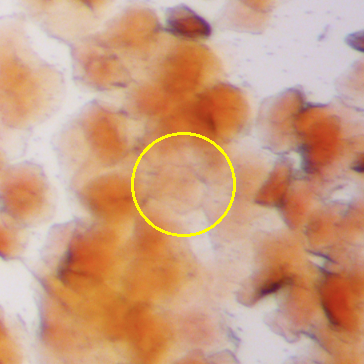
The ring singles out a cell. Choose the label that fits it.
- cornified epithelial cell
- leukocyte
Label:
cornified epithelial cell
